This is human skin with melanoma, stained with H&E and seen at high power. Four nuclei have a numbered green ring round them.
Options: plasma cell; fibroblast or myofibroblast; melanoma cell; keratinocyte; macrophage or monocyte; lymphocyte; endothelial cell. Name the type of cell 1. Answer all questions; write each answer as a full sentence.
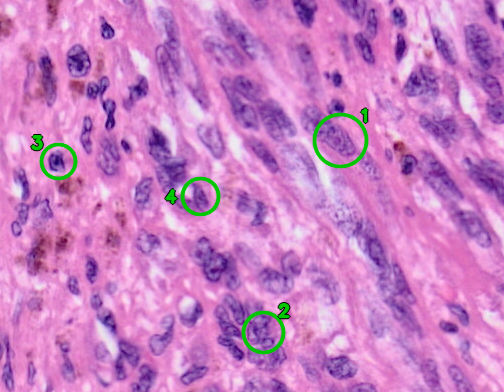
The cell that carries the label 1 is a melanoma cell.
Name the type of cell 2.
The marked nucleus 2 is that of a melanoma cell.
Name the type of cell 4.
The cell bearing label 4 corresponds to a melanoma cell.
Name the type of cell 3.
Identified by the number 3, the cell is a lymphocyte.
